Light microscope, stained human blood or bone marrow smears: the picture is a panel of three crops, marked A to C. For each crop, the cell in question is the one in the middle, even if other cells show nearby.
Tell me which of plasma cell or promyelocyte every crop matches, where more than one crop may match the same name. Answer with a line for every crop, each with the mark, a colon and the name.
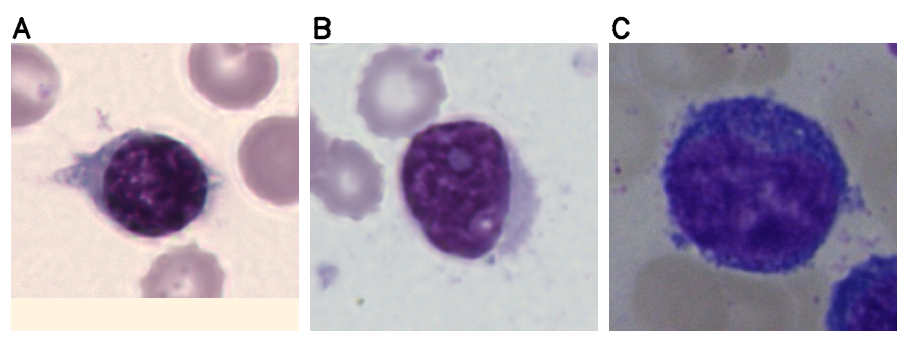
A: plasma cell
B: plasma cell
C: promyelocyte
